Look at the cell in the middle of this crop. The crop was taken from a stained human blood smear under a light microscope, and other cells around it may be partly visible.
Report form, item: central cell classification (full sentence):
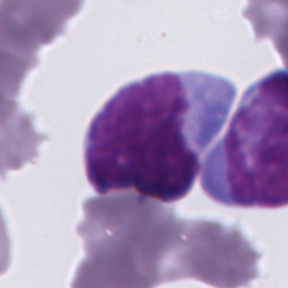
The cell positioned in the middle of the field is a myeloblast.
